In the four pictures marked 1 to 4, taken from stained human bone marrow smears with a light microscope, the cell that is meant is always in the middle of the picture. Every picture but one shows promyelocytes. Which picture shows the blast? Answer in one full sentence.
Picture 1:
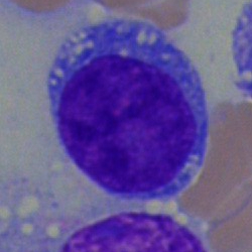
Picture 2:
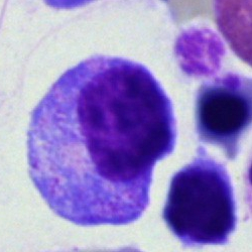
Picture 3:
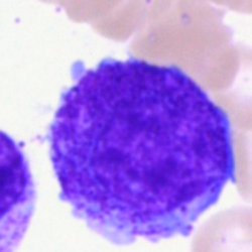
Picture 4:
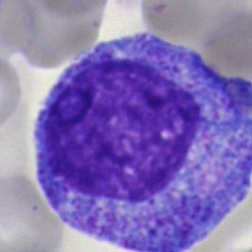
Picture 1 is the one that shows the blast.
